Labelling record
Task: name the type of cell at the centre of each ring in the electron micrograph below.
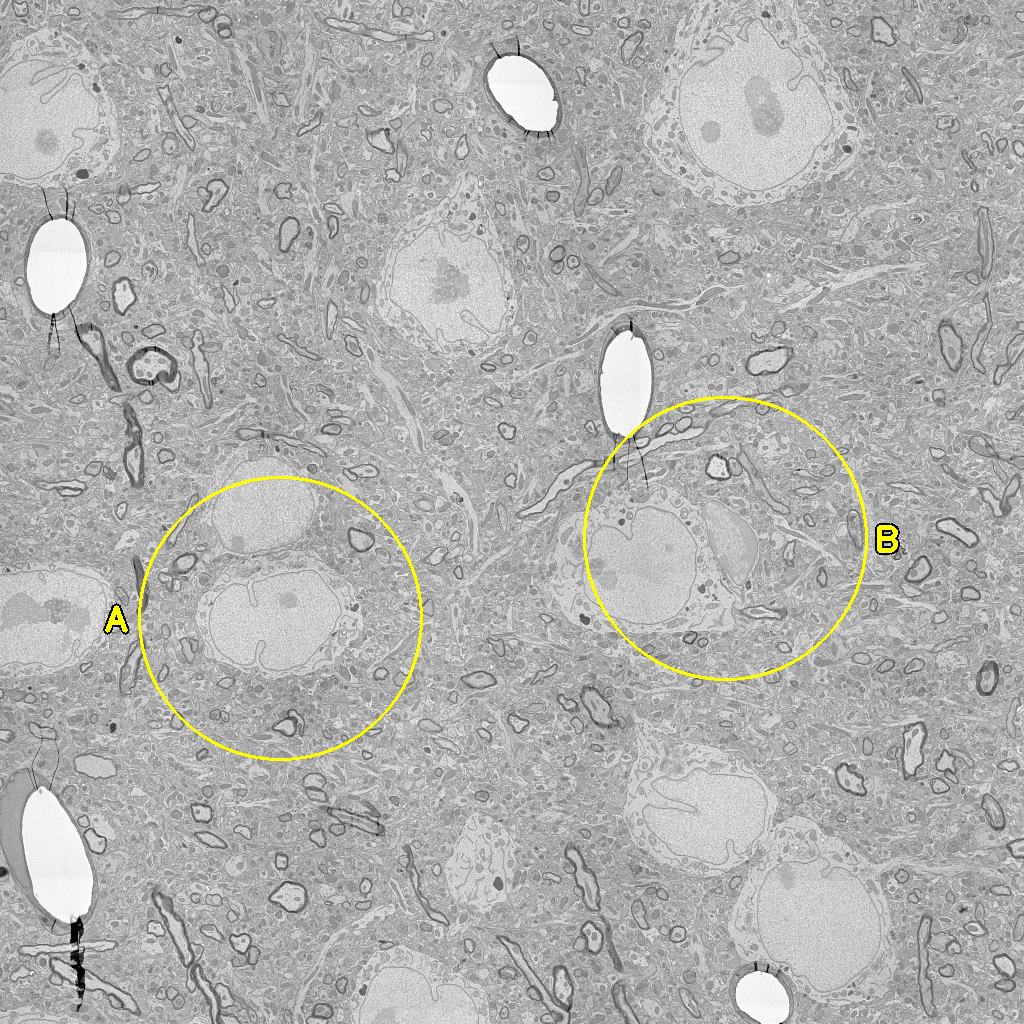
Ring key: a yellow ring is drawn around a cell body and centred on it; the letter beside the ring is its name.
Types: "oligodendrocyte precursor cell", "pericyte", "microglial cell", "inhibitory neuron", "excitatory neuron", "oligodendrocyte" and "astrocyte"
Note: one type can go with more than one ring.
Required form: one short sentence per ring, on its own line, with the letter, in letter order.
In ring A, the centred cell is an excitatory neuron.
In ring B, the centred cell is a microglial cell.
